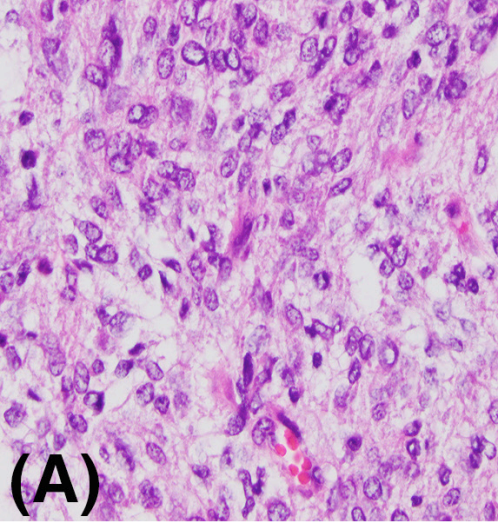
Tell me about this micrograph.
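The field is filled with a dense sheet of tumor cells whose nuclei are large, oval to irregular and vary considerably in size. The cytoplasm is pale pink and poorly defined, blending into a fibrillary background, and a small vessel with red blood cells lies near the bottom. These are markedly atypical cells with karyomegaly forming a hypercellular sheet, without distinctive features pointing to a particular lineage.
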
